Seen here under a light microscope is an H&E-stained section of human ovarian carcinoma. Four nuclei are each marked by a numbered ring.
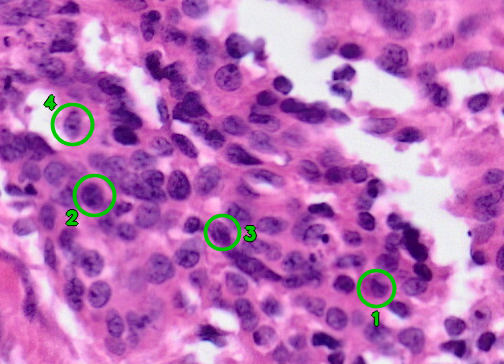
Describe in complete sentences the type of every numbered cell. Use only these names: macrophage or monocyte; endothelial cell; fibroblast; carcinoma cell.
Cells 1, 2 and 3 are carcinoma cells. Cell 4 is a macrophage or monocyte.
